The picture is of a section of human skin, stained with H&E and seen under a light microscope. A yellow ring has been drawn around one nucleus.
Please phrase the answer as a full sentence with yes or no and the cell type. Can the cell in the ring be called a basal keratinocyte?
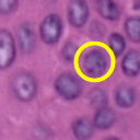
No, in this section the cell in the ring is a suprabasal keratinocyte and not a basal keratinocyte.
